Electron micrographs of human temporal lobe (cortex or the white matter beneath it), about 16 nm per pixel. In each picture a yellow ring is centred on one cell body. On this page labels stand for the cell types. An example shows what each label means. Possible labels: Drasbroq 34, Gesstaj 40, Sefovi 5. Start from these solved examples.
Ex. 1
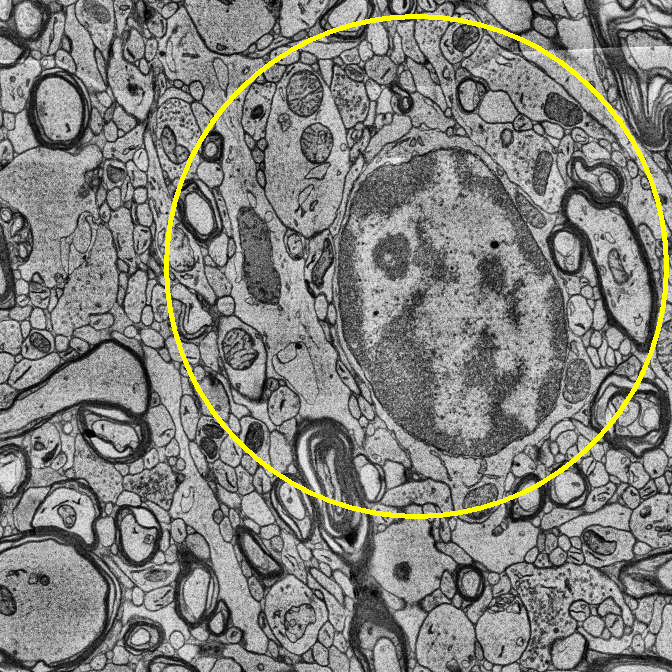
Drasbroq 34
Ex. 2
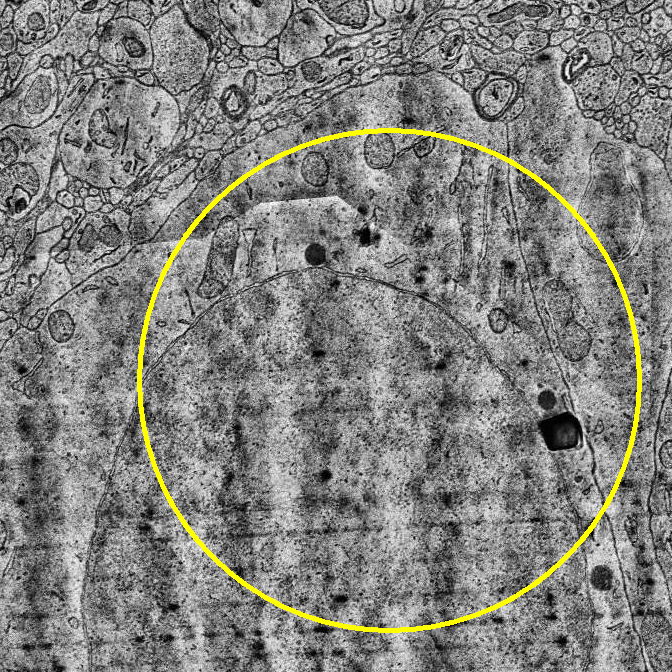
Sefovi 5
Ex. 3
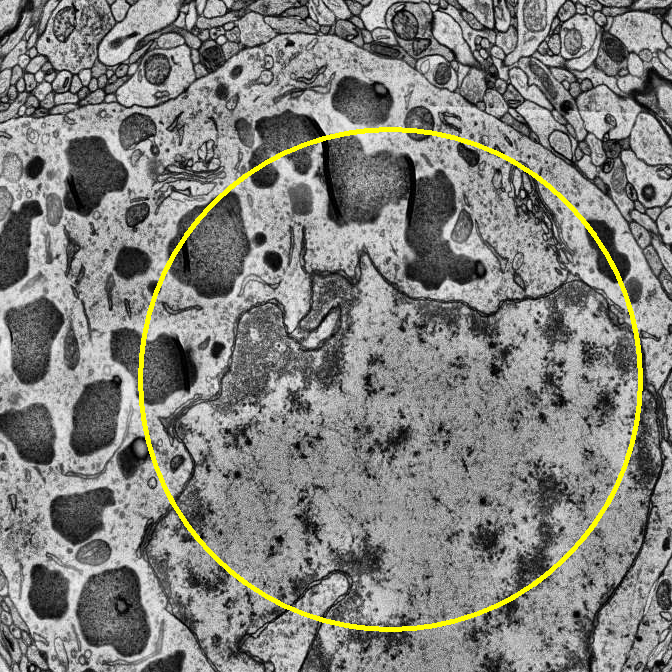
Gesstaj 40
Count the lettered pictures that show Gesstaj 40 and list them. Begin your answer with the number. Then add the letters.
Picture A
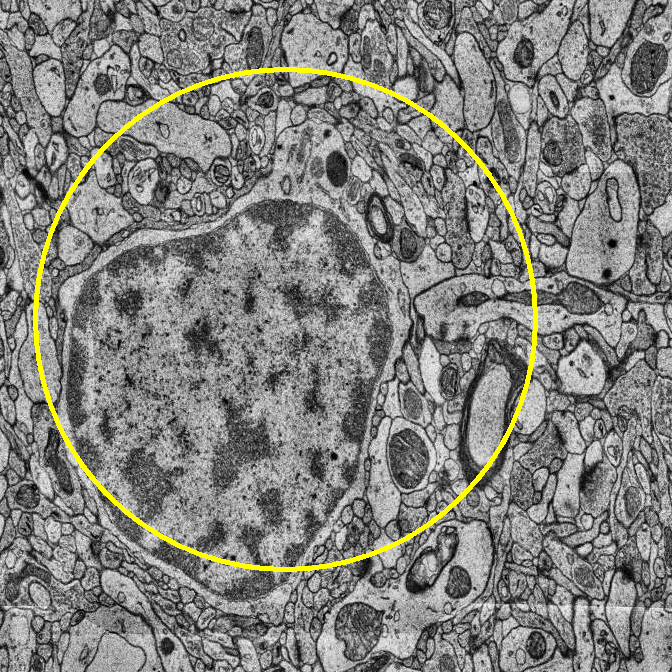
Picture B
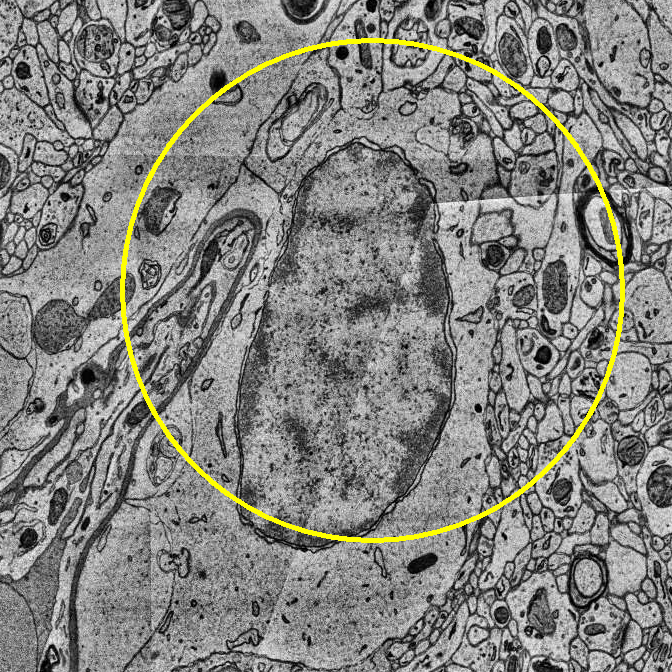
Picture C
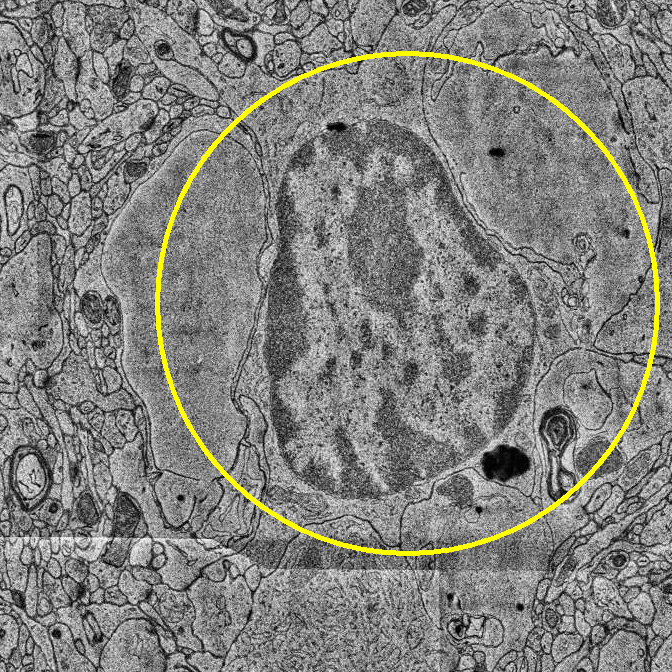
0, none of them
